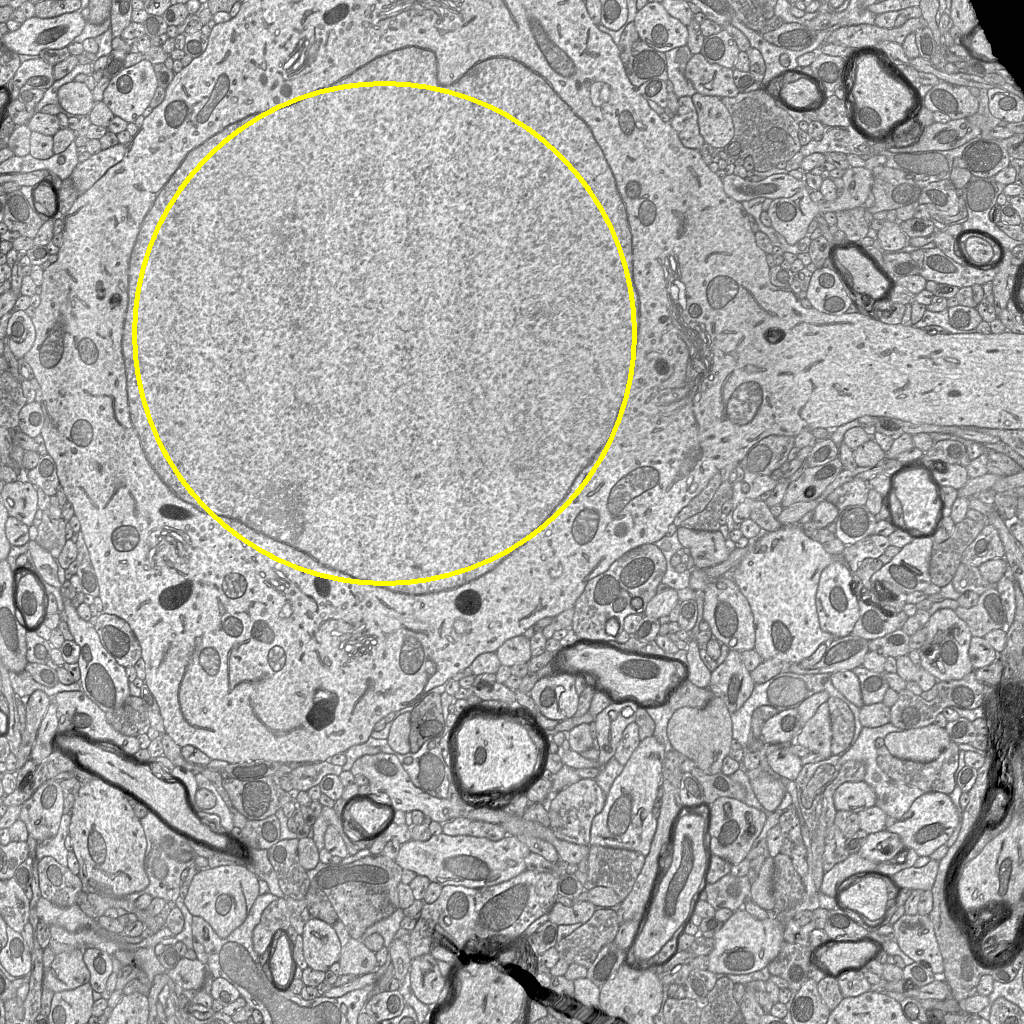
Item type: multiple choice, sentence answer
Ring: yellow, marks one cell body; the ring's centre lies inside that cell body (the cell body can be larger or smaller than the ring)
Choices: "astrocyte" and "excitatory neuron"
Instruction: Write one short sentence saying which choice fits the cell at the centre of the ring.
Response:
The centre of this ring lies on an excitatory neuron.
